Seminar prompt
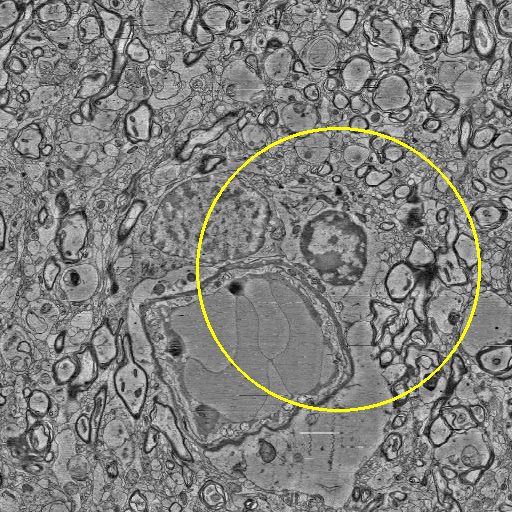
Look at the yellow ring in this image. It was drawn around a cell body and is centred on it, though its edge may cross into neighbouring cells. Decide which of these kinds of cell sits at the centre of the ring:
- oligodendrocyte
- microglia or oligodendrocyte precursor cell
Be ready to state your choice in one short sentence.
The kind of cell at the ring's centre is a microglial cell or oligodendrocyte precursor cell.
